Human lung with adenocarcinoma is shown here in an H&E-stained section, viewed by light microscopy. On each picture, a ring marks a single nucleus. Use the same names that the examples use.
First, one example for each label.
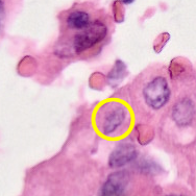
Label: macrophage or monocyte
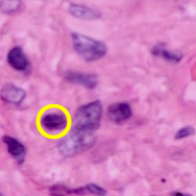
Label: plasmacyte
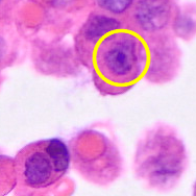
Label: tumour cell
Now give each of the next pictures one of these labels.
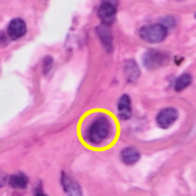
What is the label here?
plasmacyte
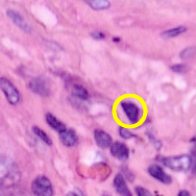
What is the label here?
plasmacyte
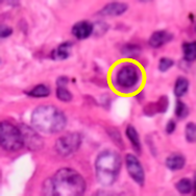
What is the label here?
plasmacyte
